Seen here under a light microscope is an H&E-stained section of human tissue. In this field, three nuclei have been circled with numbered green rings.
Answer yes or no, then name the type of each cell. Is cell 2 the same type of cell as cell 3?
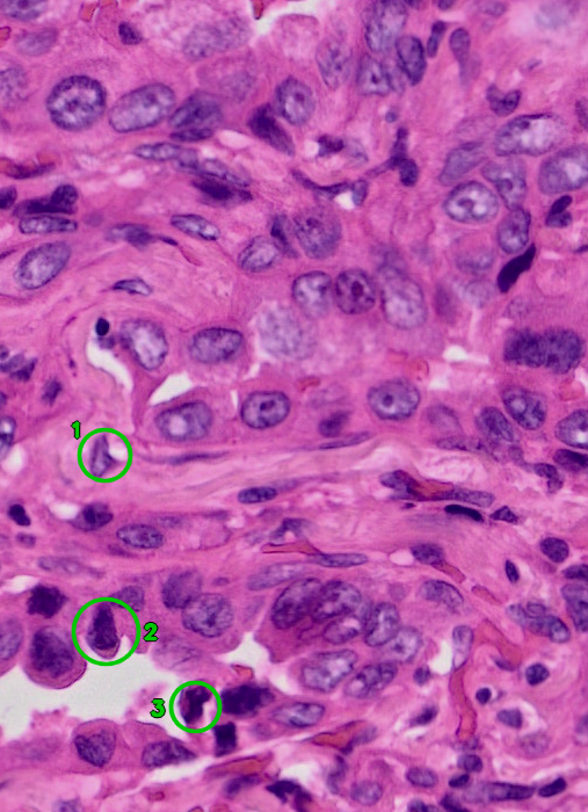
Yes, along with cell 2, cell 3 is also among the carcinoma cells.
